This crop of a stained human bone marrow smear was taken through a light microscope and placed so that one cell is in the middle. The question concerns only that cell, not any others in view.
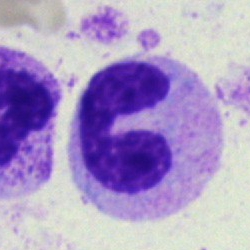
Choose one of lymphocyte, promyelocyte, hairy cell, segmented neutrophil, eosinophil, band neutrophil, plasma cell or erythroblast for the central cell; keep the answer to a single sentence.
Looking at the middle of the crop, the cell there is a band neutrophil.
